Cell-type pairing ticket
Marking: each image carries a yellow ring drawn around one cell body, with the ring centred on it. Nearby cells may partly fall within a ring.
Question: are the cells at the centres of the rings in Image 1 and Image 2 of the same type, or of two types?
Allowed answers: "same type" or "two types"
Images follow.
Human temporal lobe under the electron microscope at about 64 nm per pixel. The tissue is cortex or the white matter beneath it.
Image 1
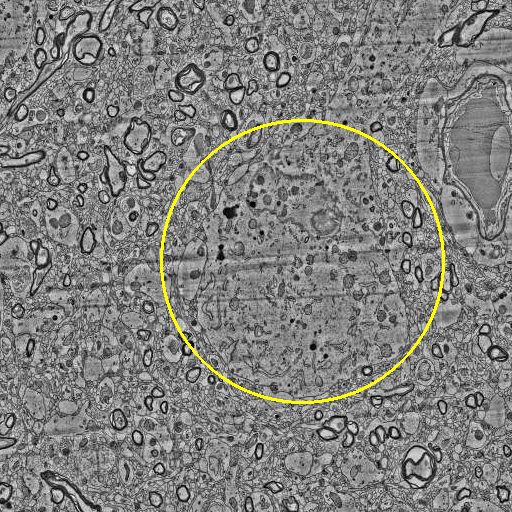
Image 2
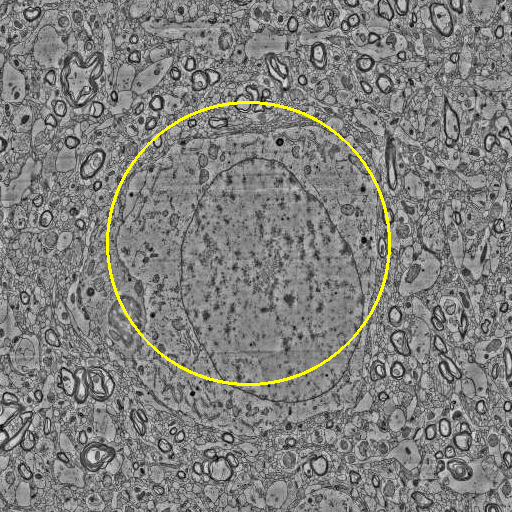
same type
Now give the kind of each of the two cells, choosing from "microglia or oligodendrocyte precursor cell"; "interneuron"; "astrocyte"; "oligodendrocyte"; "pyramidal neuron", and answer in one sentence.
The first and the second cell are each a pyramidal neuron.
